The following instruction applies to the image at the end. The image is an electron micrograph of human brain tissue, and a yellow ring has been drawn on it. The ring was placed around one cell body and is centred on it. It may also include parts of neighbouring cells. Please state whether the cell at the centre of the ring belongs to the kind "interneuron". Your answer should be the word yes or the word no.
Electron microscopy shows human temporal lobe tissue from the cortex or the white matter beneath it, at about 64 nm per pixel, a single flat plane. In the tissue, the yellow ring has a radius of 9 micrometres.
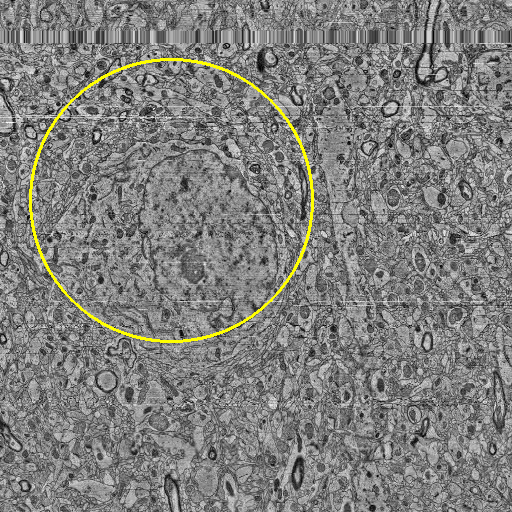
yes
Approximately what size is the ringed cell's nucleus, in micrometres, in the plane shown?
The nucleus comes to roughly 12 by 8 micrometres in this plane.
